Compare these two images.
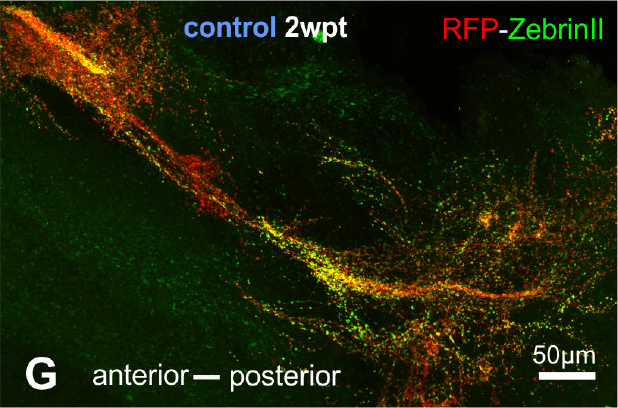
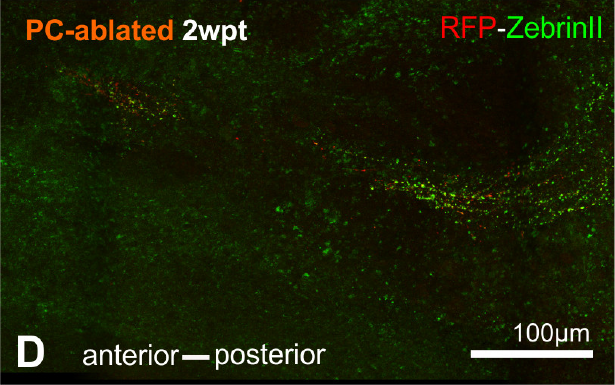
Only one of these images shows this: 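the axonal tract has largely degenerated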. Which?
The second image.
